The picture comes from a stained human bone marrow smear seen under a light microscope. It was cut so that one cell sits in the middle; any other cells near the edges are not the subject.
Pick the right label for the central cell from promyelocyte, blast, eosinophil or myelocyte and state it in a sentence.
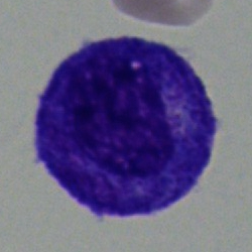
Of the cells in this crop, the central one is a promyelocyte.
